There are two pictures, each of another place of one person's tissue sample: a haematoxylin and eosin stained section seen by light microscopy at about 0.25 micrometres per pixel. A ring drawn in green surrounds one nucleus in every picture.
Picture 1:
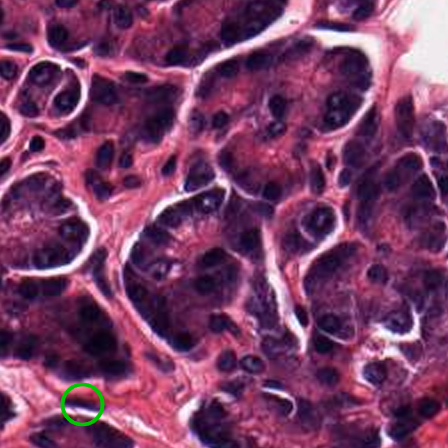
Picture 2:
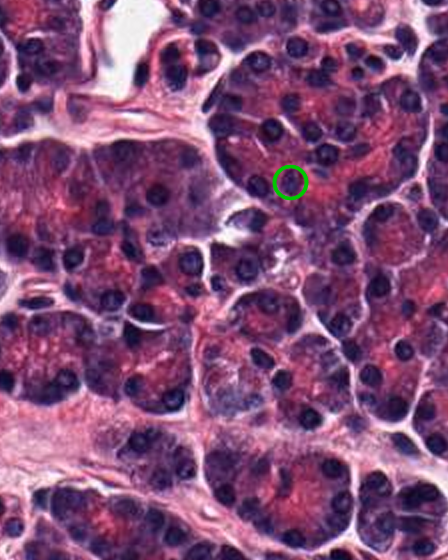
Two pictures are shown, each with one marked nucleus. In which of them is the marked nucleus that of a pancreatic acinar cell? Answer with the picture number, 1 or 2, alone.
2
